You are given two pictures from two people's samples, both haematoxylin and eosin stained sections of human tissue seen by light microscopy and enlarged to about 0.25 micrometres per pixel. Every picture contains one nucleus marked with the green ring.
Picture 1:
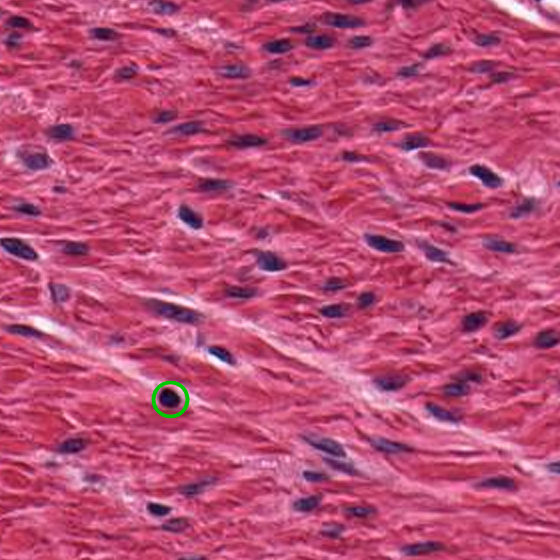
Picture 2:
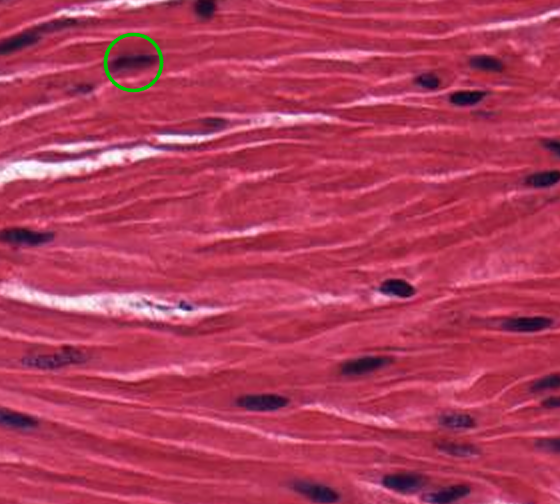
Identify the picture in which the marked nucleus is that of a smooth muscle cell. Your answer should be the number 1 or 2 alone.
2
